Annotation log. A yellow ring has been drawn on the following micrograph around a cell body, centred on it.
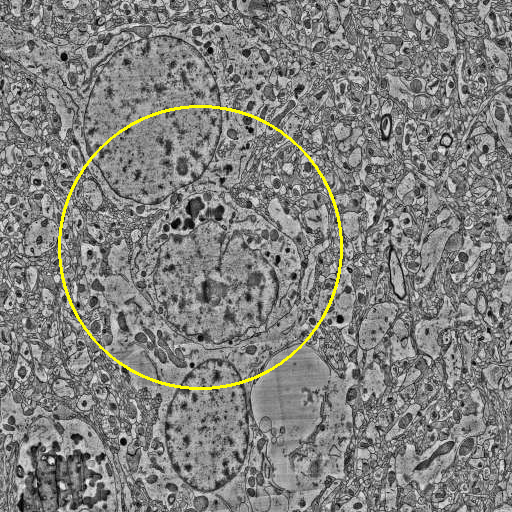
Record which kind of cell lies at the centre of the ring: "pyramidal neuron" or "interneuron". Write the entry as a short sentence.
The cell the ring is centred on is an interneuron.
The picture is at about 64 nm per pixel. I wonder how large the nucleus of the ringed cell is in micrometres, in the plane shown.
Roughly 8 by 7 micrometres in this plane, for the nucleus of the ringed cell.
